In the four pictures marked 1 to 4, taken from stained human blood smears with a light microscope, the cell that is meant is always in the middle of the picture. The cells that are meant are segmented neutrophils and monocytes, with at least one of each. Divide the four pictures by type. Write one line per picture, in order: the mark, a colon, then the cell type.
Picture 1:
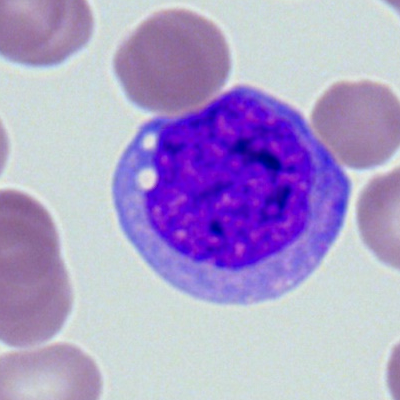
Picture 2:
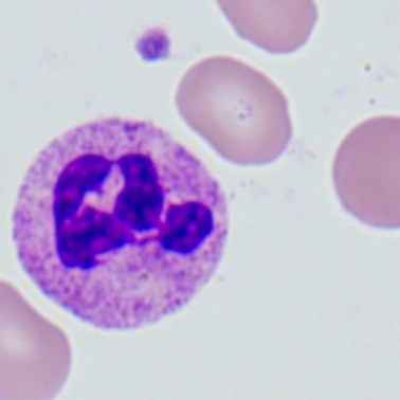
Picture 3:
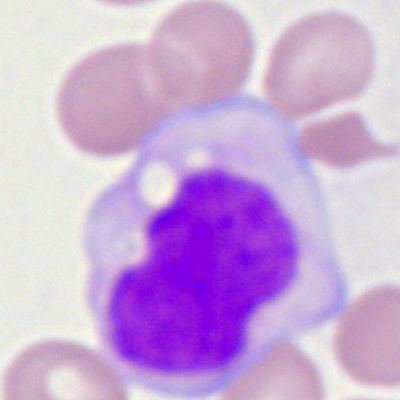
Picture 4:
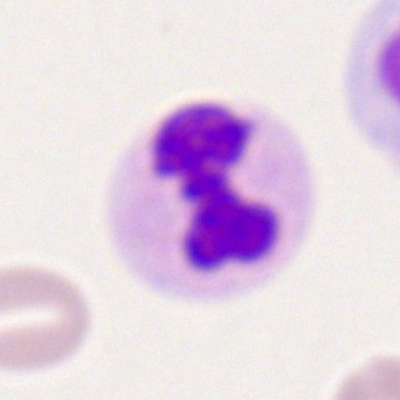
1: monocyte
2: segmented neutrophil
3: monocyte
4: segmented neutrophil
